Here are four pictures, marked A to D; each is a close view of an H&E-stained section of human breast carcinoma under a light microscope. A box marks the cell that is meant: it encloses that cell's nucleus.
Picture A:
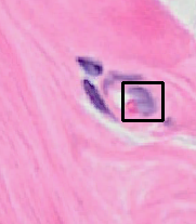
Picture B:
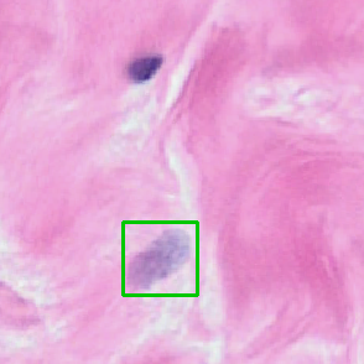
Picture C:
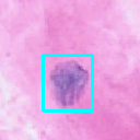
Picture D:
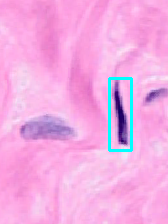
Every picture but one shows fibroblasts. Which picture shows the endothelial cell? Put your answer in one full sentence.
Picture A is the one that shows the endothelial cell.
